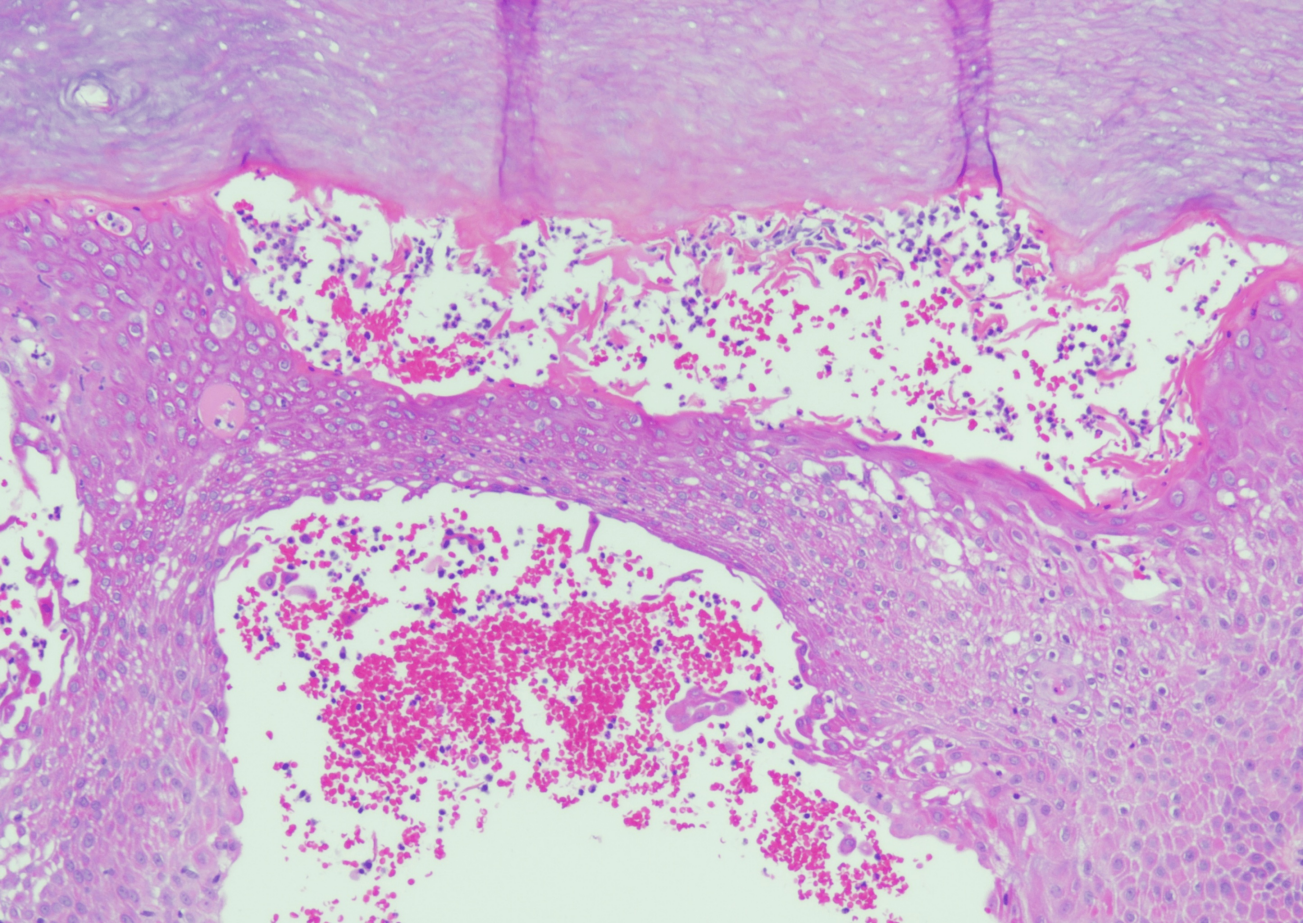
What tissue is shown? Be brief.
Acral skin.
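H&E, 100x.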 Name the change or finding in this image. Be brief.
Intraepidermal and subcorneal pustules.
